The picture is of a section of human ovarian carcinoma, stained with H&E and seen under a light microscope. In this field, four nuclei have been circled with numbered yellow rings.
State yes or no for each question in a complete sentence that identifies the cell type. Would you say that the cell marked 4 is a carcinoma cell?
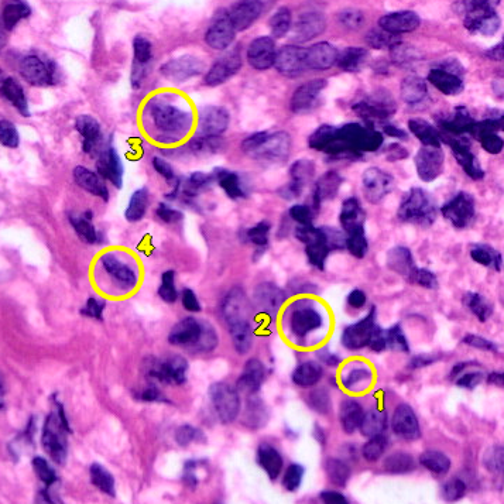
No, sorry, the cell labelled 4 is not a carcinoma cell; it is a macrophage or monocyte.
